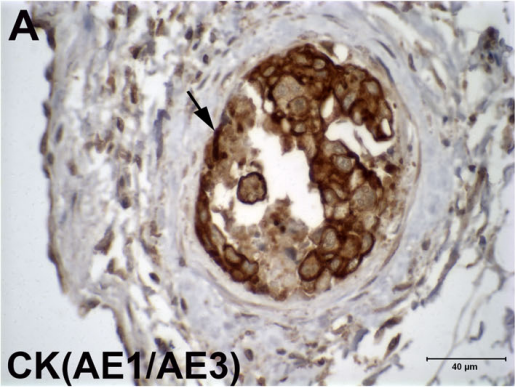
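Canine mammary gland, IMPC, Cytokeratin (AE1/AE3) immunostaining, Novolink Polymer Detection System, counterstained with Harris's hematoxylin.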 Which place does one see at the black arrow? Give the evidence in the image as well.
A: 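The nest is enclosed by a continuous rim of fibrous stroma. The nest has a central lumen-like cavity.
In situ.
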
